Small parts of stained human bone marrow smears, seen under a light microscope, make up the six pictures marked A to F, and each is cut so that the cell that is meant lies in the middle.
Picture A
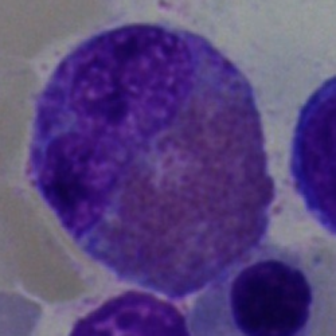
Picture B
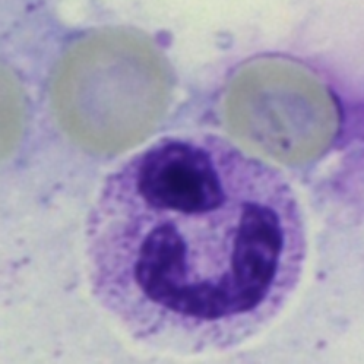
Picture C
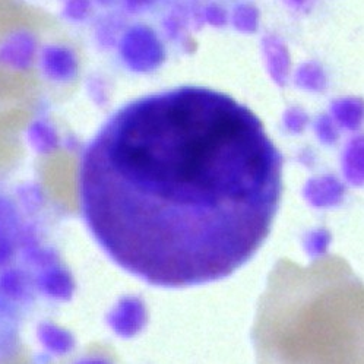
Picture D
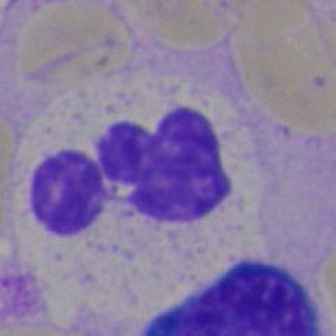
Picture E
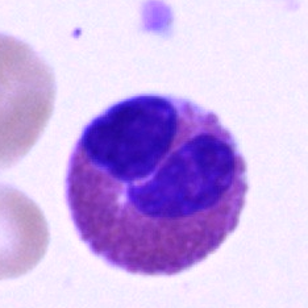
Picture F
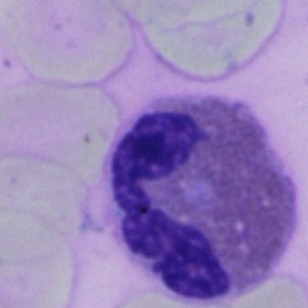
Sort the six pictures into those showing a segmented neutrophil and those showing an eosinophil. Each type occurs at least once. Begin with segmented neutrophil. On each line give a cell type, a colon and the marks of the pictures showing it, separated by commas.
segmented neutrophil: B, D
eosinophil: A, C, E, F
